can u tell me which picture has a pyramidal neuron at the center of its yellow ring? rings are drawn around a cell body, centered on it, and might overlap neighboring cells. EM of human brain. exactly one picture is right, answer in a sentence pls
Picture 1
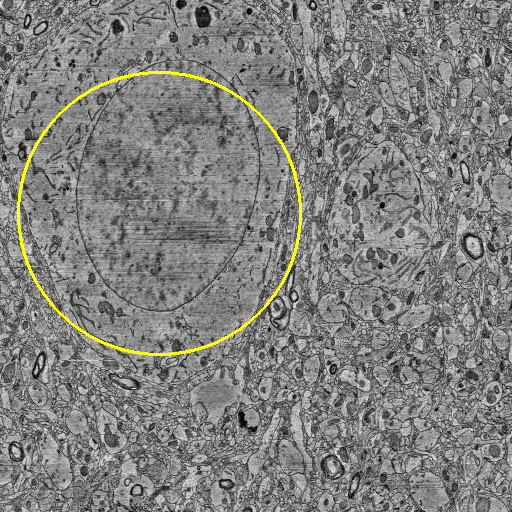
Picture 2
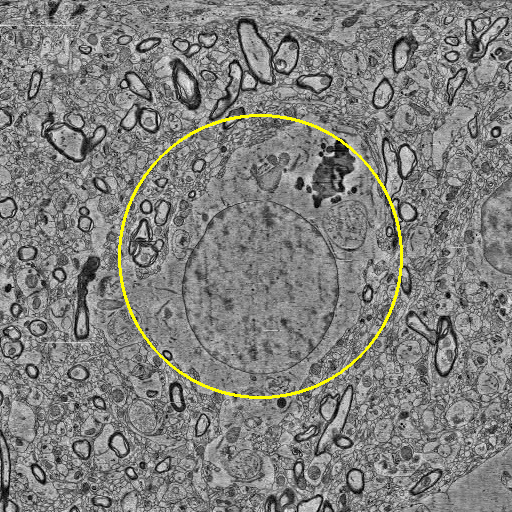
Picture 1 is the one.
